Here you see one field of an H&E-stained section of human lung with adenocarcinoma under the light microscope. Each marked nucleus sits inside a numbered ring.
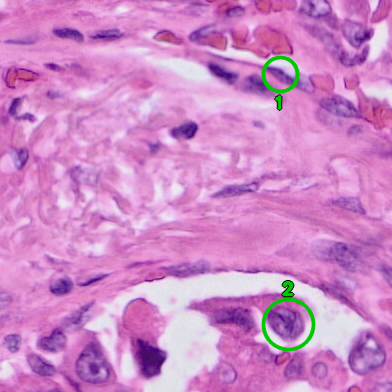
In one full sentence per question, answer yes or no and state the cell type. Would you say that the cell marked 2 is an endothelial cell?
No, the cell under number 2 is a carcinoma cell instead of an endothelial cell.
